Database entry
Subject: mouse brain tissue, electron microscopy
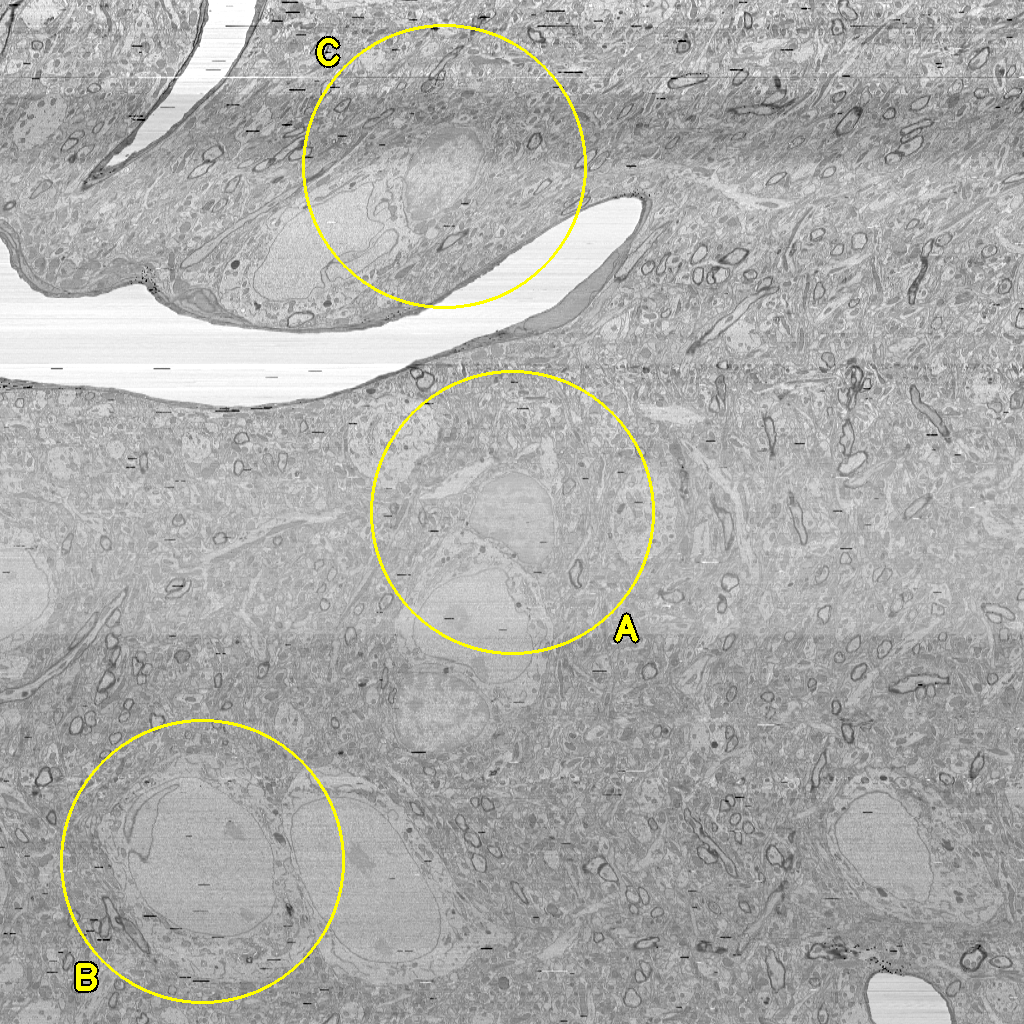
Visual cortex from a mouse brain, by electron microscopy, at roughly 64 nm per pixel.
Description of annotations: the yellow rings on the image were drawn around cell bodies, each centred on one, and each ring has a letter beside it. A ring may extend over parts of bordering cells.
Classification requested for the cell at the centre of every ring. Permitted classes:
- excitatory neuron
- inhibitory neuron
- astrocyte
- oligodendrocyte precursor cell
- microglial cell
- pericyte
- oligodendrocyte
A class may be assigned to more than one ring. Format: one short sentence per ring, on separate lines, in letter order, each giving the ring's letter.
The cell body at the centre of ring A is a microglial cell.
The cell body at the centre of ring B is an excitatory neuron.
The cell body at the centre of ring C is an oligodendrocyte.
